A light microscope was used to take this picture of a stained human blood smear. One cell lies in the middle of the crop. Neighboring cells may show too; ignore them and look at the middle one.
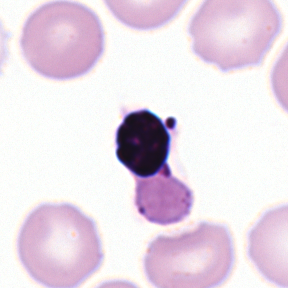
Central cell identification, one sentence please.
At the middle of the frame sits an erythroblast.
